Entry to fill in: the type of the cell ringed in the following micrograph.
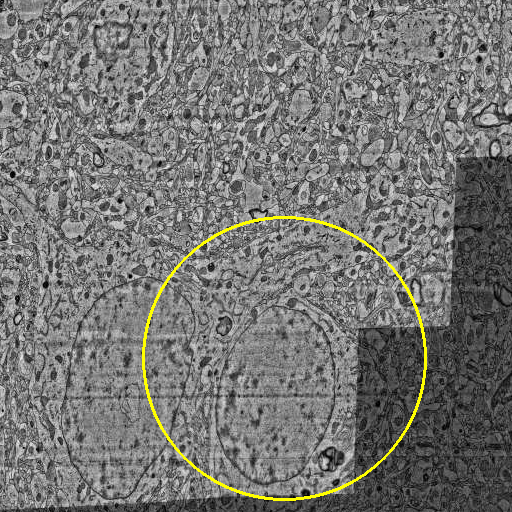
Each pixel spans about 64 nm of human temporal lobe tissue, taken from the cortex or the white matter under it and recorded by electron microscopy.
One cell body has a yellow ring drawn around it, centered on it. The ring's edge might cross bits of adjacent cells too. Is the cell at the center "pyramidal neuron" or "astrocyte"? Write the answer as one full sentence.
This entry names a pyramidal neuron as the cell whose body lies at the ring's center.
